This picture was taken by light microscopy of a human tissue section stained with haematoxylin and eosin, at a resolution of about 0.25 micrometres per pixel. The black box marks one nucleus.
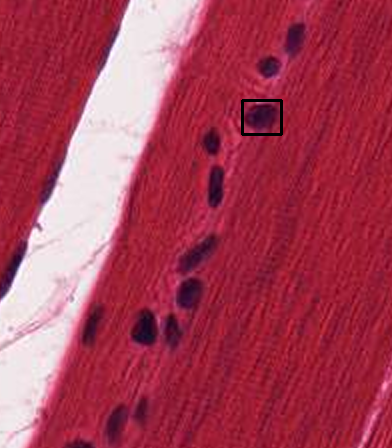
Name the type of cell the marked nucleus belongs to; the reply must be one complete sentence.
The nucleus marked in this picture belongs to a skeletal muscle fibre.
